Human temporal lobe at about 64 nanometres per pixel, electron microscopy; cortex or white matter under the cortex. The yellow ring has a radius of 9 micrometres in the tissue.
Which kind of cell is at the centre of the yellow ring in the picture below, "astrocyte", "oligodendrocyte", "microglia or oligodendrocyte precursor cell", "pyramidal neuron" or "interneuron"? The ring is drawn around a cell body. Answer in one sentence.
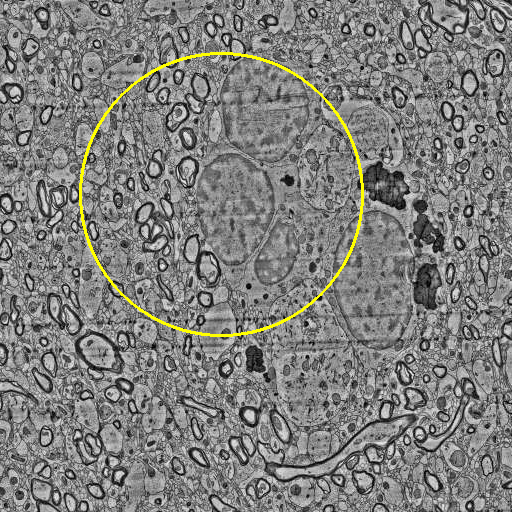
The ring's central cell is an oligodendrocyte.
